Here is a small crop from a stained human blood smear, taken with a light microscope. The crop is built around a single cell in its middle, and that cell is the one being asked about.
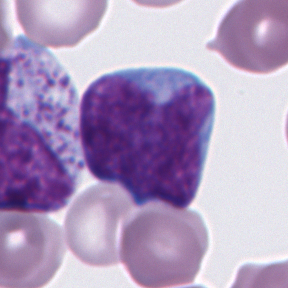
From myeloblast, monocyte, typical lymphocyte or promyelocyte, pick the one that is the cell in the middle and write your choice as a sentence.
The cell found in the middle of this crop is a myeloblast.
